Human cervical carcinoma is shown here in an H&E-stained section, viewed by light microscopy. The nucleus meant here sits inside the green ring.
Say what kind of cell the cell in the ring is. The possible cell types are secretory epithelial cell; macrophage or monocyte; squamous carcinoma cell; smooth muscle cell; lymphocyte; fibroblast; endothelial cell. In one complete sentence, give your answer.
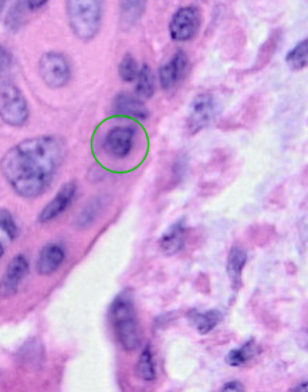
The correct response here is that the cell in the ring is a squamous carcinoma cell.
